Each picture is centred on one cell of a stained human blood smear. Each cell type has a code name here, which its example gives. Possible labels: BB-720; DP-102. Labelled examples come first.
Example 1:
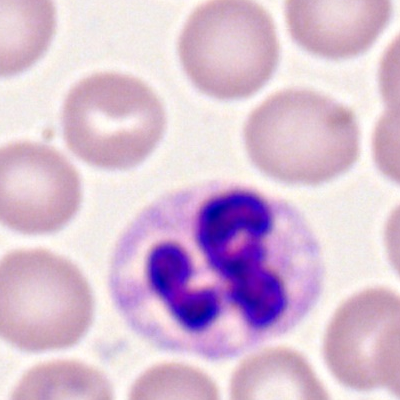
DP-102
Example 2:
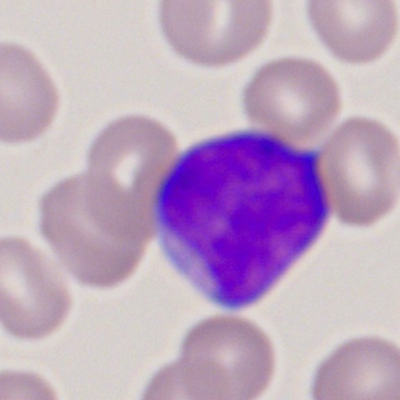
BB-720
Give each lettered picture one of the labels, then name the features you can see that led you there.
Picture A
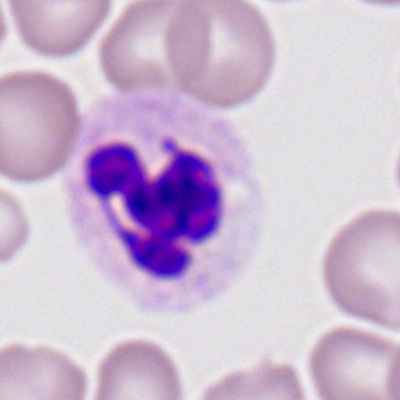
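Answer: DP-102. The nucleus is divided into several separate lobes.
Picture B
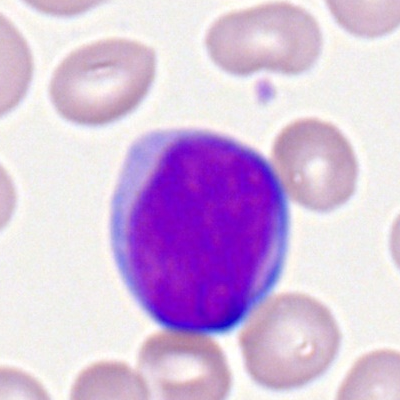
Answer: BB-720. The cytoplasm forms only a thin rim around the nucleus.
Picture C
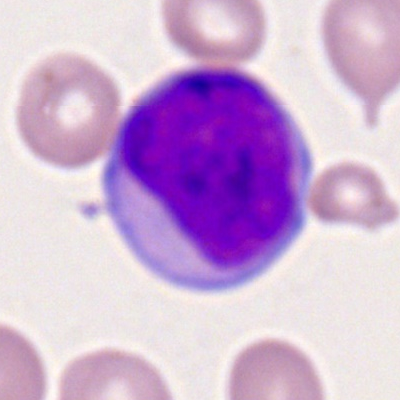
Answer: BB-720. The nucleus fills most of the cell and sits toward the upper right.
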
